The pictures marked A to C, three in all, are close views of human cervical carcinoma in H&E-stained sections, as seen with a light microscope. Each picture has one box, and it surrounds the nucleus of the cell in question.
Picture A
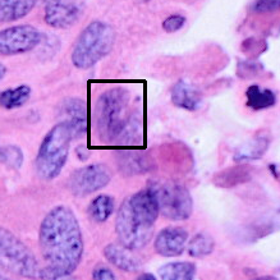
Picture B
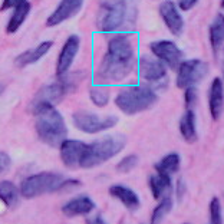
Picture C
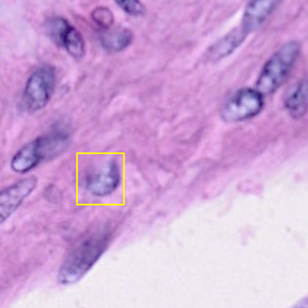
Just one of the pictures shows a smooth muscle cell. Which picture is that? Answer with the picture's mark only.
C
